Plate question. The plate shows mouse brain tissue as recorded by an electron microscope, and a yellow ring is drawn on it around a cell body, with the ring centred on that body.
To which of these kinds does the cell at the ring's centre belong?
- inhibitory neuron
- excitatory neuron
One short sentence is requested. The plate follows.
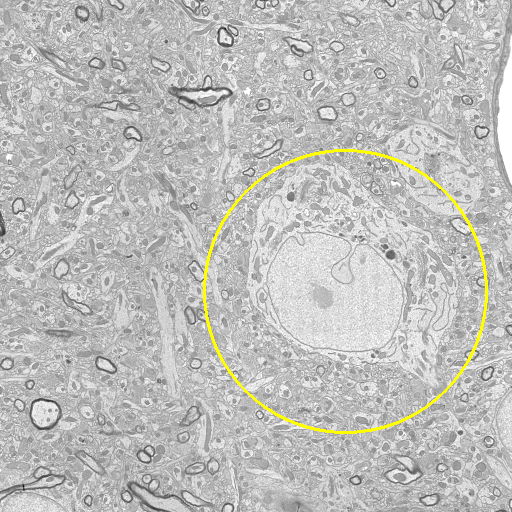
The cell at the ring's centre is an excitatory neuron.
